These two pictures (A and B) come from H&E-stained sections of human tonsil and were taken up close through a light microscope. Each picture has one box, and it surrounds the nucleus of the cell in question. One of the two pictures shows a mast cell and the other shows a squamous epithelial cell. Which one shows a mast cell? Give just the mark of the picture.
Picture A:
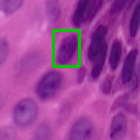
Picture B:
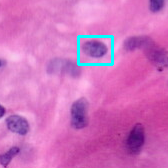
B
